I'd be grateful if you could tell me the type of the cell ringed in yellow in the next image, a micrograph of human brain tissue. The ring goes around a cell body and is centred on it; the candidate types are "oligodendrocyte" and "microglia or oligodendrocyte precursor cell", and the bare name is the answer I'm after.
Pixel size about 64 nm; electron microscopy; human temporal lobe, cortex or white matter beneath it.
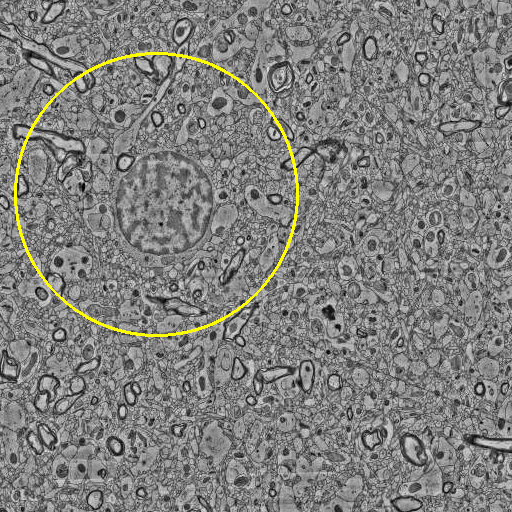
oligodendrocyte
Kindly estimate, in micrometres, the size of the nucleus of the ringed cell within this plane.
About 7 micrometres across in this plane.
